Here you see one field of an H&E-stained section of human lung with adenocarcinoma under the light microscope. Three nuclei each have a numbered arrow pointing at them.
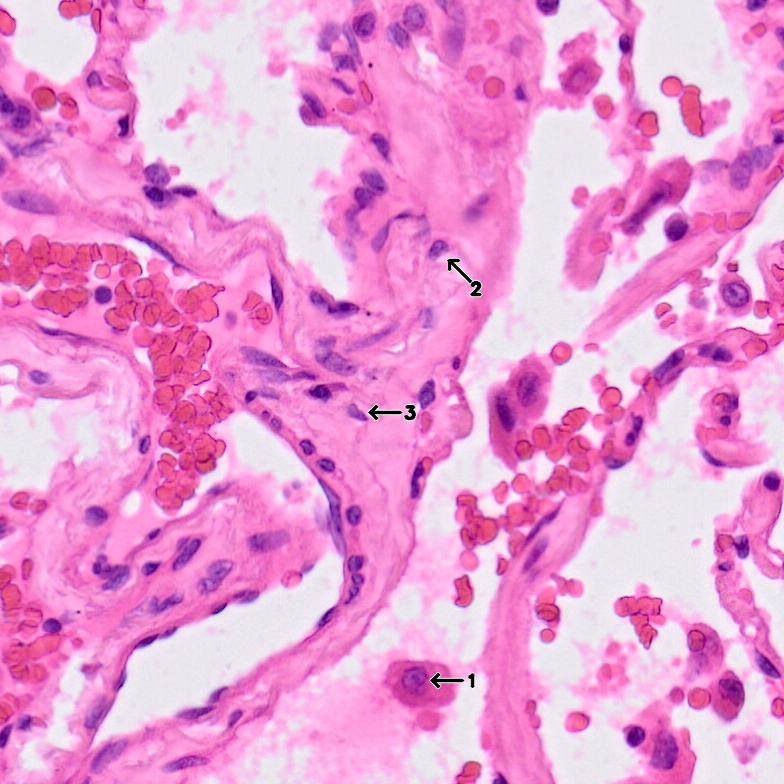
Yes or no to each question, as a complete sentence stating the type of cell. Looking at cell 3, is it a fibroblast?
Yes, cell 3 among the marked cells is a fibroblast.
